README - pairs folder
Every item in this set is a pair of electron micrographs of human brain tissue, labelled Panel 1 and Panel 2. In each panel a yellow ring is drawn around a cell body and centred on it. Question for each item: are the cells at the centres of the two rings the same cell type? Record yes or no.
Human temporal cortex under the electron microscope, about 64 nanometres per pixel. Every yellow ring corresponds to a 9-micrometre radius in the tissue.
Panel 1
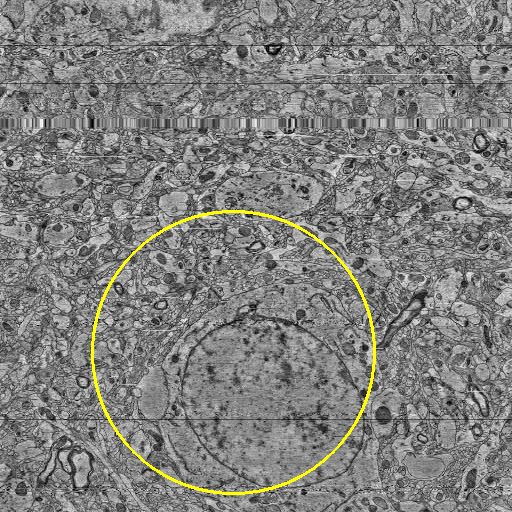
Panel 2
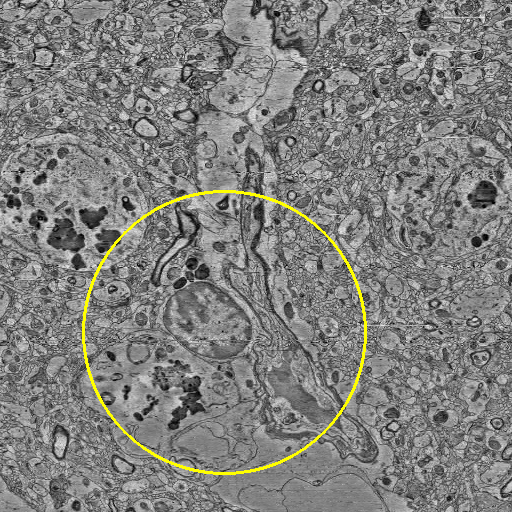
no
